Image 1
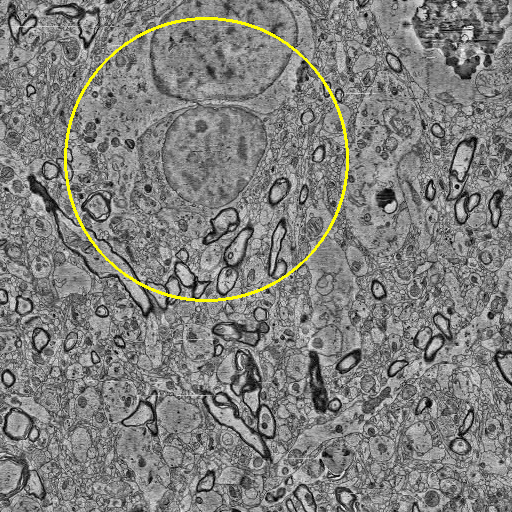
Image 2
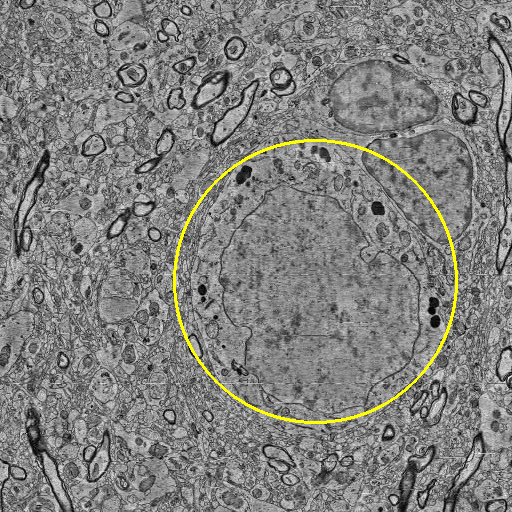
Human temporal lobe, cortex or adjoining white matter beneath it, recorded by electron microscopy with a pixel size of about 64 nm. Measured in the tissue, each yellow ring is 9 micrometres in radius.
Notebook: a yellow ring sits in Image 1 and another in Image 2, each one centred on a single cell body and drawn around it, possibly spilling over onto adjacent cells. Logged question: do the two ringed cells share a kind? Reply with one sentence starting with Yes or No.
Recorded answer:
No, the centre cells inside the rings of Image 1 and Image 2 are of two kinds.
